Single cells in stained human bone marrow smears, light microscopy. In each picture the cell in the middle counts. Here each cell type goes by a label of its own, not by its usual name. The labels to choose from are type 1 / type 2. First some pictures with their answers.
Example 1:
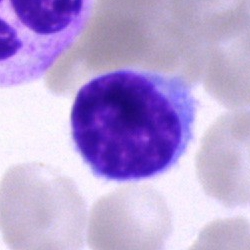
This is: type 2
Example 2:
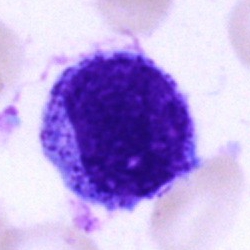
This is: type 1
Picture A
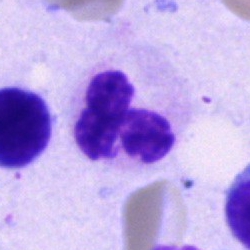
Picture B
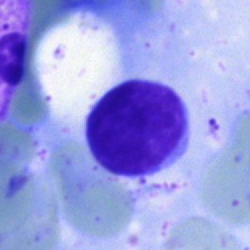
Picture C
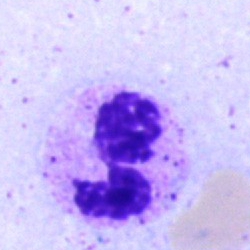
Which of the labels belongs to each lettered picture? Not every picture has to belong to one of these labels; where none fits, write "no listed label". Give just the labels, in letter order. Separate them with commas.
no listed label, type 2, no listed label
